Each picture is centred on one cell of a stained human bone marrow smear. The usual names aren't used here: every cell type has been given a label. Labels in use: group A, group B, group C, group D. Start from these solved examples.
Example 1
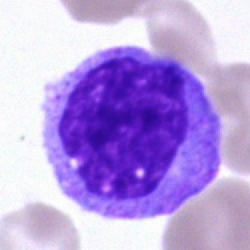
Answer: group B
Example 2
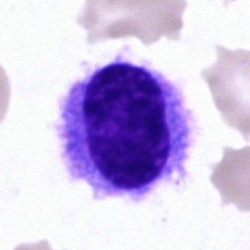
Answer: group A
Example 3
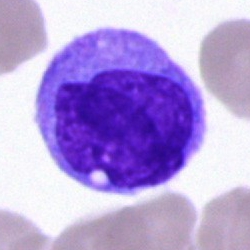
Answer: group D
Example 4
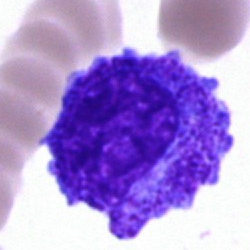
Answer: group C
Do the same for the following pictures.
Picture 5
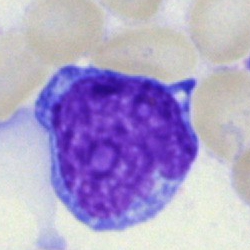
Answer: group D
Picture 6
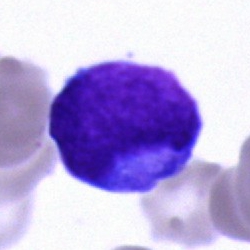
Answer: group D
